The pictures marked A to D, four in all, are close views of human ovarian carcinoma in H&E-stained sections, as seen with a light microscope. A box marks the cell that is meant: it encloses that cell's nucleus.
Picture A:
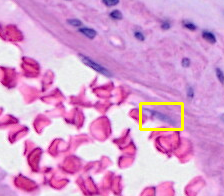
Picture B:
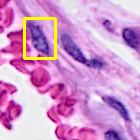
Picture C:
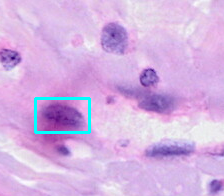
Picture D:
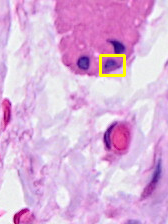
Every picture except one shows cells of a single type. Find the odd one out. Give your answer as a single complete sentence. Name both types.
Picture D differs, because its cell is a smooth muscle cell and the rest are endothelial cells.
